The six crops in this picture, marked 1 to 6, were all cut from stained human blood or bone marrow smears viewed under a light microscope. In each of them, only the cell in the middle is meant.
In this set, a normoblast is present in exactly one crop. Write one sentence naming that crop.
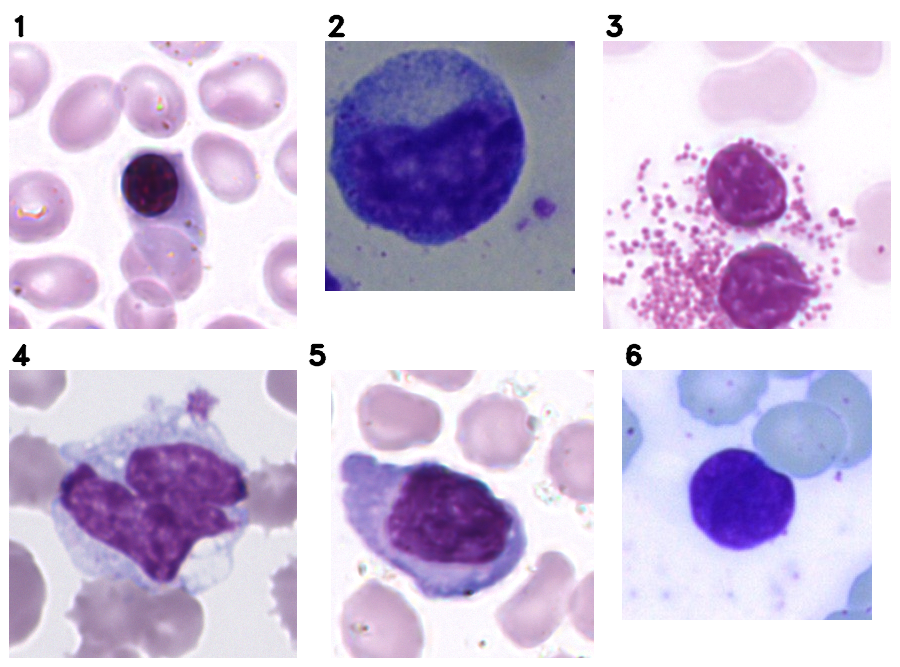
The cell identified as a normoblast is the one in crop 1.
